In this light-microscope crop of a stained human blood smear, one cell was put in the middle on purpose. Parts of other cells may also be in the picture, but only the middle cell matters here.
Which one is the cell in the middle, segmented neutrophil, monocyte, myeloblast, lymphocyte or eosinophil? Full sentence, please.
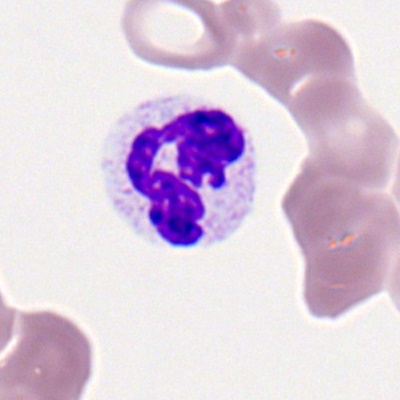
The cell featured at the centre of this crop is a segmented neutrophil.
